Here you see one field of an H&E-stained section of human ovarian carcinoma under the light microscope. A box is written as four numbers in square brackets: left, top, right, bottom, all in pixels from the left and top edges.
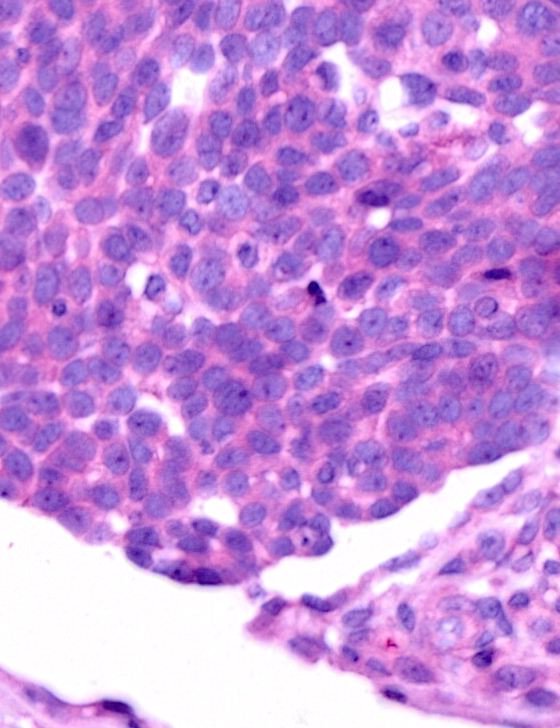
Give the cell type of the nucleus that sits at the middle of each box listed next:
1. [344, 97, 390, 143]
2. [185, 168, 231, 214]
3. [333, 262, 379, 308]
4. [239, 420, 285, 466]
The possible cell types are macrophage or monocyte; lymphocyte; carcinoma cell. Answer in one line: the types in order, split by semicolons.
macrophage or monocyte; macrophage or monocyte; carcinoma cell; carcinoma cell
